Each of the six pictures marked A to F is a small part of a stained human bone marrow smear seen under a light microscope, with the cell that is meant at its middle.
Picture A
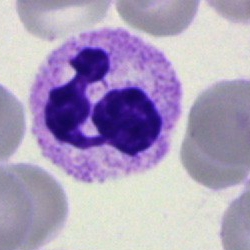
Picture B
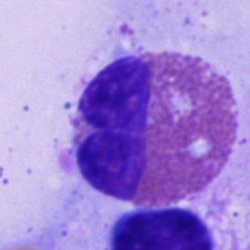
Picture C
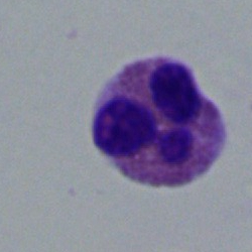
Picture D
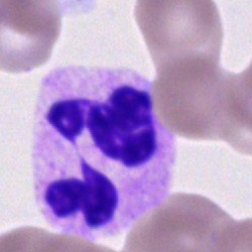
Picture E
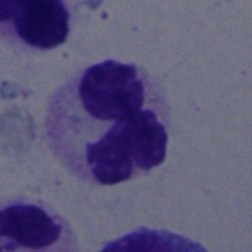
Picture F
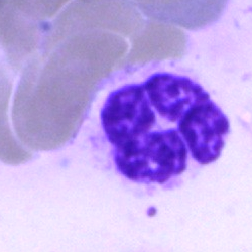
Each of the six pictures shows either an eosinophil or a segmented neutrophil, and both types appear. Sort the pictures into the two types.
A: segmented neutrophil
B: eosinophil
C: eosinophil
D: segmented neutrophil
E: segmented neutrophil
F: segmented neutrophil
